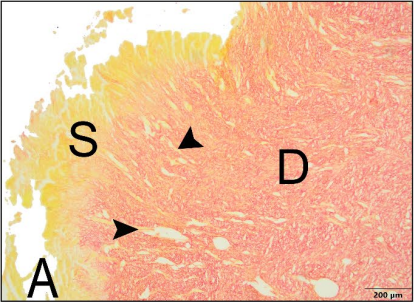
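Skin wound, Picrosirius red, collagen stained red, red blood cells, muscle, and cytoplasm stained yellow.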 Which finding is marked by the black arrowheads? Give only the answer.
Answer: Neovascularization.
